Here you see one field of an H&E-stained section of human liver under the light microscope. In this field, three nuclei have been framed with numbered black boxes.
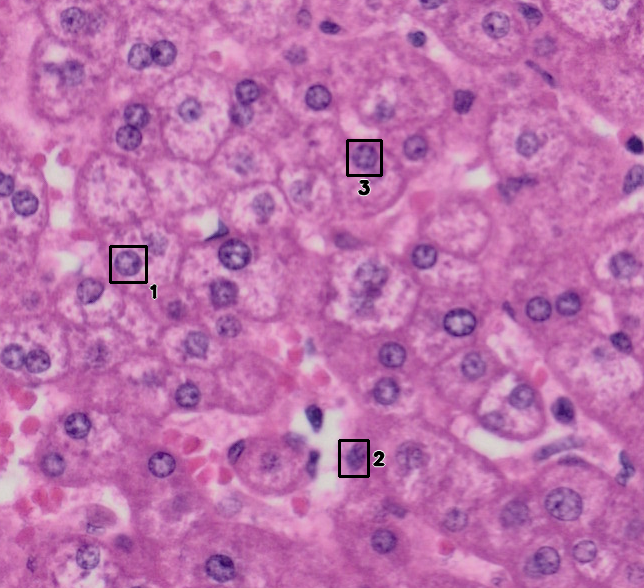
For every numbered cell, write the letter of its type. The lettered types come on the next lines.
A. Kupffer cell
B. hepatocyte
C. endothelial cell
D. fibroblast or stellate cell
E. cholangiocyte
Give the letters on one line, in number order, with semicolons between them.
B; D; B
